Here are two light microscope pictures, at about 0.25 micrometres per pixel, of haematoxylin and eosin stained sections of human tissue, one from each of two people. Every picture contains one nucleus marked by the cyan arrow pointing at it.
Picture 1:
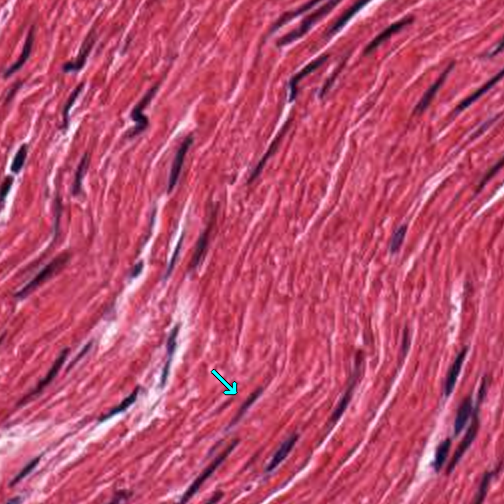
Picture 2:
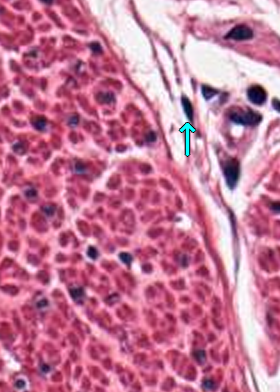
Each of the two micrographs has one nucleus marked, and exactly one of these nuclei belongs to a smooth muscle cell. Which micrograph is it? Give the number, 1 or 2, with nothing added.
1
